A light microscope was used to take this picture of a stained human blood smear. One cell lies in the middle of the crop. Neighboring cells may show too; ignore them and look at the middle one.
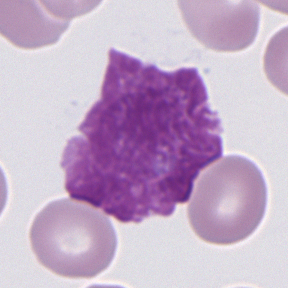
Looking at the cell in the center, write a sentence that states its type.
The cell in the middle of the field of view is a smudge cell.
